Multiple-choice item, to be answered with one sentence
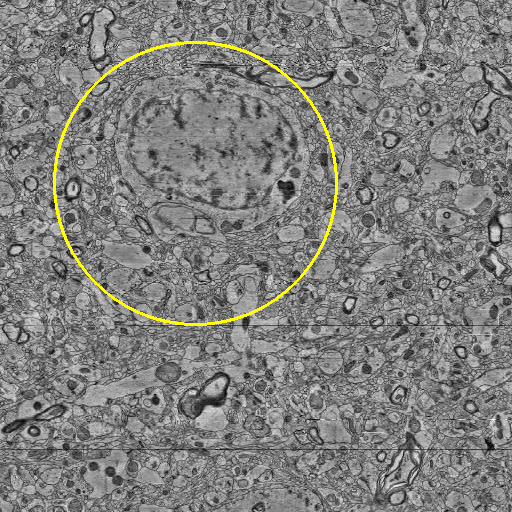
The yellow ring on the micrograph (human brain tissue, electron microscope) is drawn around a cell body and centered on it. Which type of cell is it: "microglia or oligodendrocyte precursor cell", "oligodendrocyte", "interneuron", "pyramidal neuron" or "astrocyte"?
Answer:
The ring is centered on an interneuron.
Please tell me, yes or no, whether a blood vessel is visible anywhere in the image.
No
